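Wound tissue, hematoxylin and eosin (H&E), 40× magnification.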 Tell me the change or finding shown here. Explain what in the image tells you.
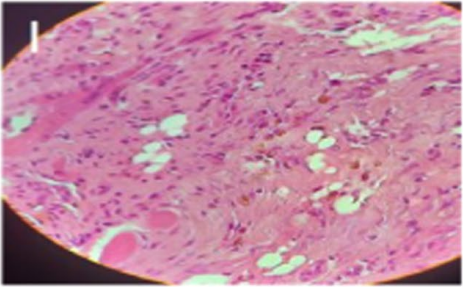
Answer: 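Pink fibrous stroma fills most of the panel. Spindle-shaped nuclei lie scattered among the pink fibres. That points to this answer: collagen production.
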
